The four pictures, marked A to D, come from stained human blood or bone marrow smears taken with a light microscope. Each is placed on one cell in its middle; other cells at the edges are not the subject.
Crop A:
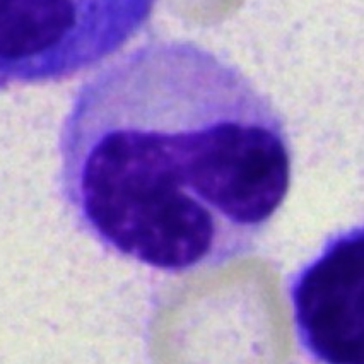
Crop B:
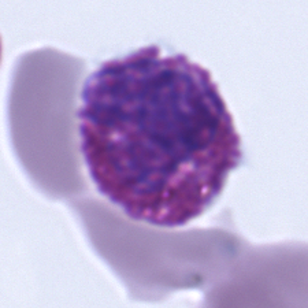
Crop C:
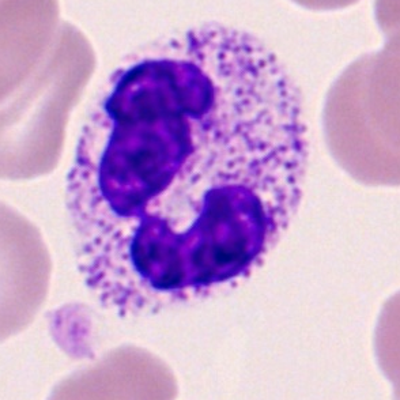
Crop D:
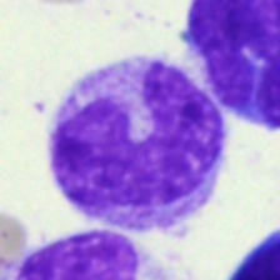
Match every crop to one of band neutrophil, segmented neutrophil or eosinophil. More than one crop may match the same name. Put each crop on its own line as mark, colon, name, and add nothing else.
A: band neutrophil
B: eosinophil
C: segmented neutrophil
D: band neutrophil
